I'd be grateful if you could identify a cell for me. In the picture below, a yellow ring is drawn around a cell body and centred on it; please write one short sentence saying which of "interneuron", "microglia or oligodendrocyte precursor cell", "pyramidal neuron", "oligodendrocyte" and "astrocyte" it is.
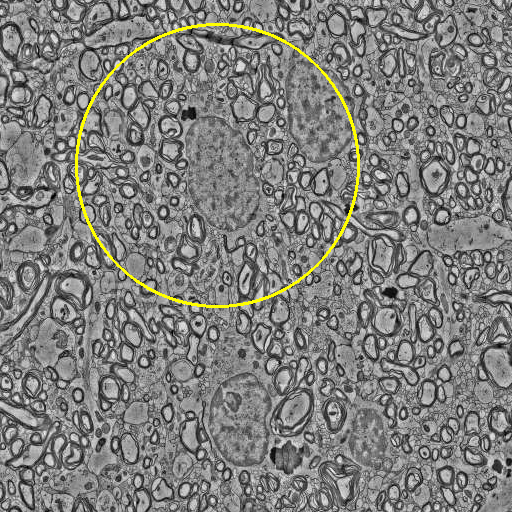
The cell under the ring's centre is an oligodendrocyte.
